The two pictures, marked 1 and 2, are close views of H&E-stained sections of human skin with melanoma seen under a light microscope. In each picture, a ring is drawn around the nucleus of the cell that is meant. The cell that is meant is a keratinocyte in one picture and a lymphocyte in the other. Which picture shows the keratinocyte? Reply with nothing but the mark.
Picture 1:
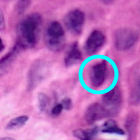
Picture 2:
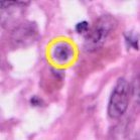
1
